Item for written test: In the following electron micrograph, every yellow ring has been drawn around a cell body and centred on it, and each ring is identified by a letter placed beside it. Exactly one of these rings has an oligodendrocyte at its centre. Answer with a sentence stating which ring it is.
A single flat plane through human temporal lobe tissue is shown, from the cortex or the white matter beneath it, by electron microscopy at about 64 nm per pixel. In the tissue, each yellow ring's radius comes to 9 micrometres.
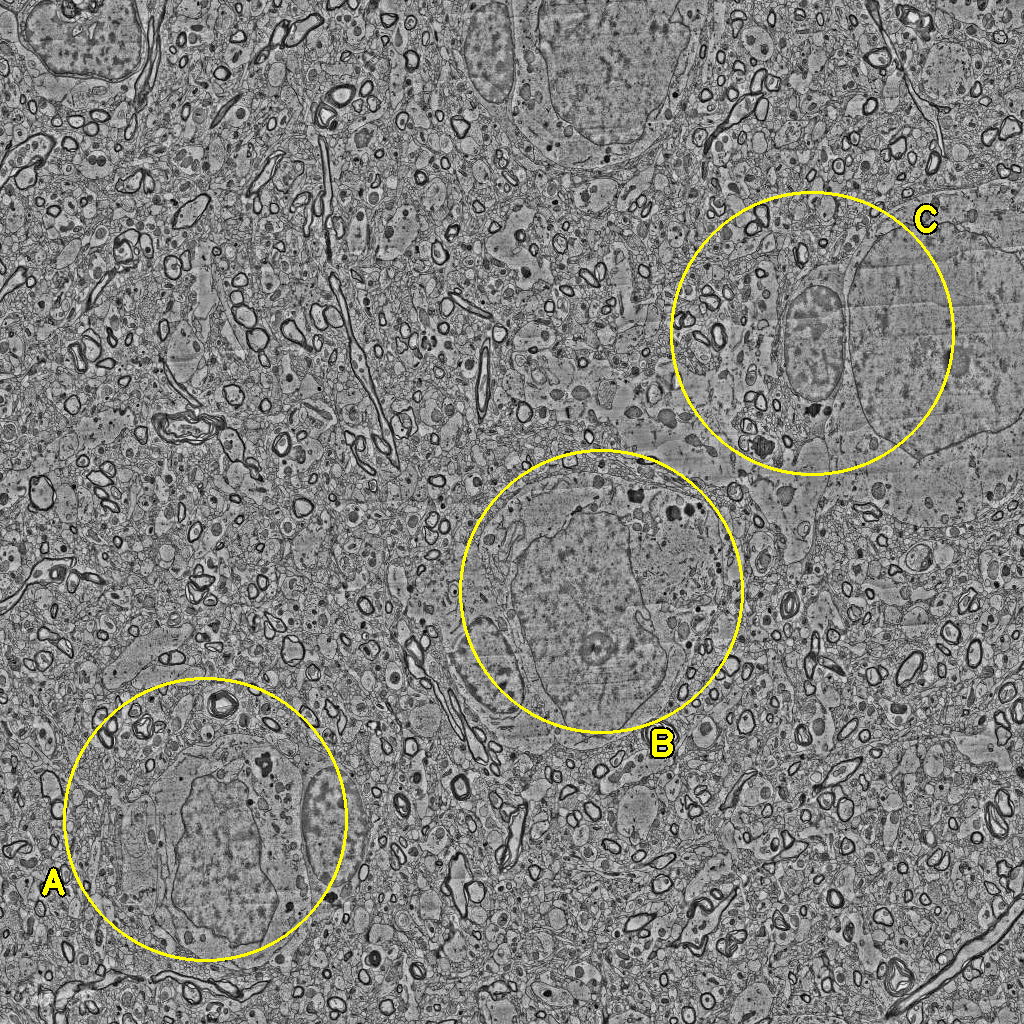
It is ring C.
